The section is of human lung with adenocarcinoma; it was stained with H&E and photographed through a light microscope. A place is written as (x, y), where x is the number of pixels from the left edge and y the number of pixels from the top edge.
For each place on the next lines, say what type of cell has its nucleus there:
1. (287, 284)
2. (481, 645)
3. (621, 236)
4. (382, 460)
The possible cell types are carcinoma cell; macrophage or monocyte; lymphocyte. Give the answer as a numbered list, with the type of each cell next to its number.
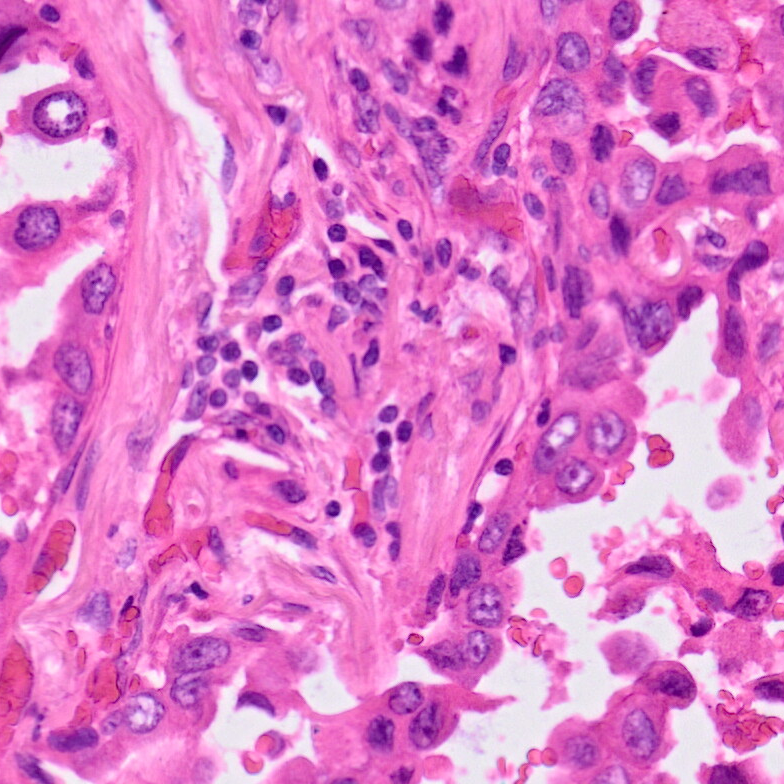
1. lymphocyte
2. carcinoma cell
3. carcinoma cell
4. lymphocyte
